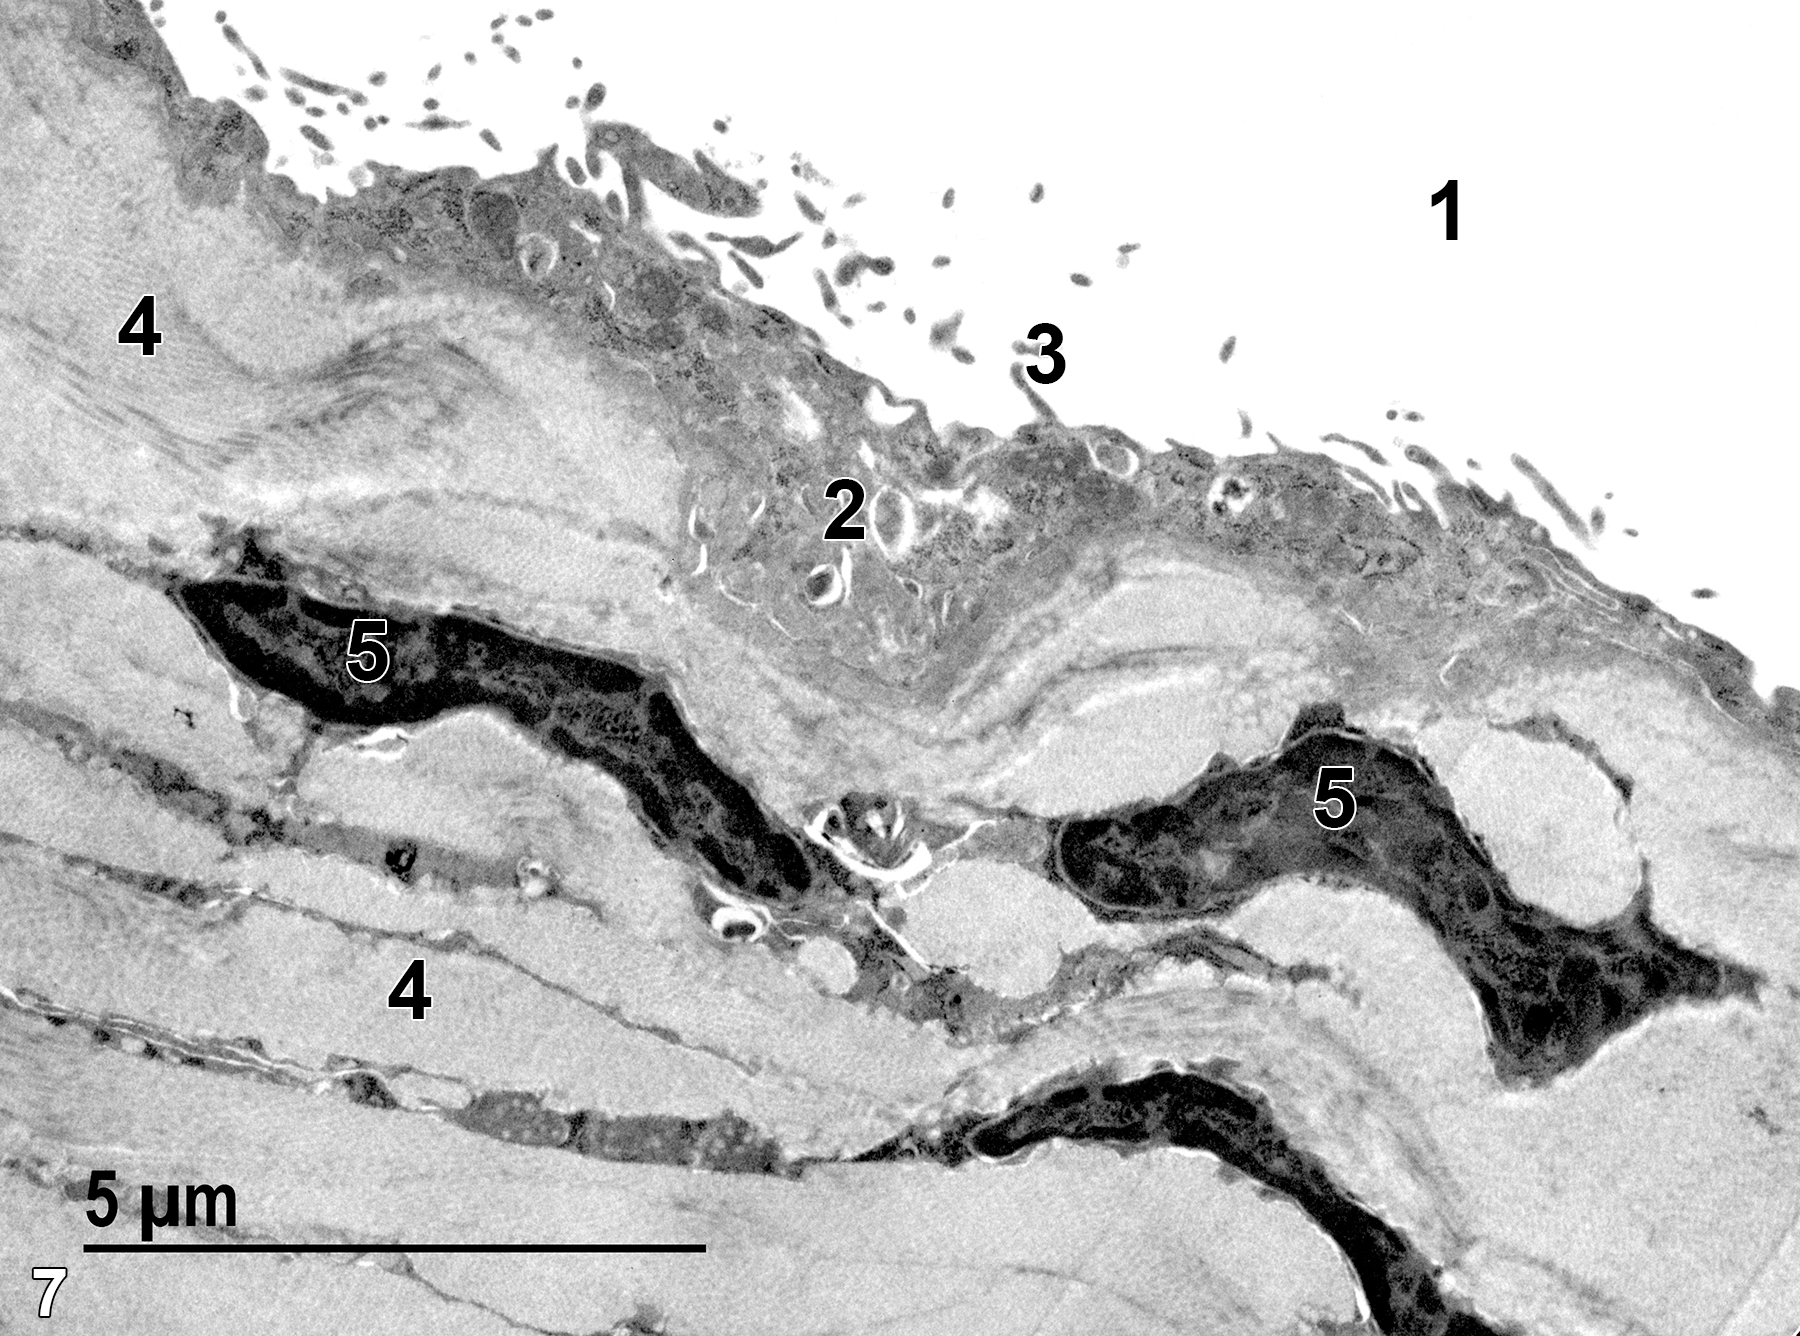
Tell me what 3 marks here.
At 3: short microvilli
